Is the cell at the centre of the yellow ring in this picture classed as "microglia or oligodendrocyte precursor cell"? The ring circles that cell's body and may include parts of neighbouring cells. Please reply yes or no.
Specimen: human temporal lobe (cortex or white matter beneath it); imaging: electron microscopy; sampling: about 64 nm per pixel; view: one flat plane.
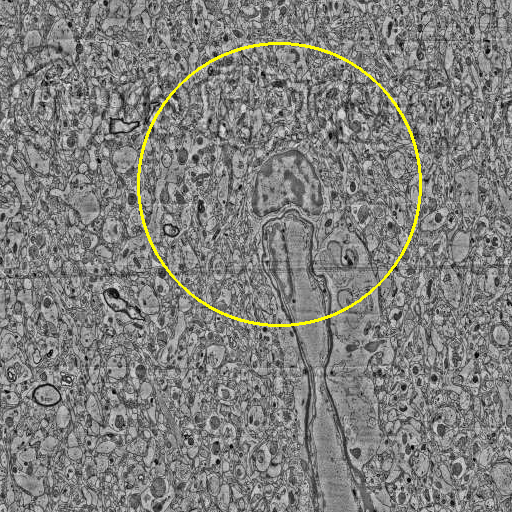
Yes, it is of that kind.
